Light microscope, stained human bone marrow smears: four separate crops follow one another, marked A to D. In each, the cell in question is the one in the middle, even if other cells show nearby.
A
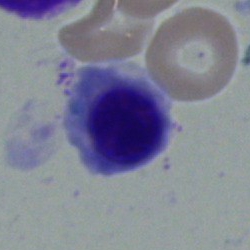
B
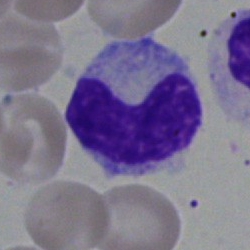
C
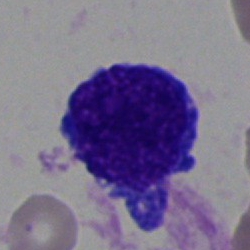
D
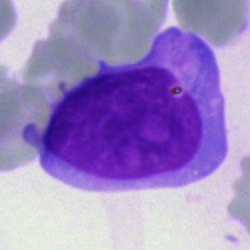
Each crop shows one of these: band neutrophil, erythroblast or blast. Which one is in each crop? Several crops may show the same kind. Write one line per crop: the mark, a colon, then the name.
A: erythroblast
B: band neutrophil
C: blast
D: blast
